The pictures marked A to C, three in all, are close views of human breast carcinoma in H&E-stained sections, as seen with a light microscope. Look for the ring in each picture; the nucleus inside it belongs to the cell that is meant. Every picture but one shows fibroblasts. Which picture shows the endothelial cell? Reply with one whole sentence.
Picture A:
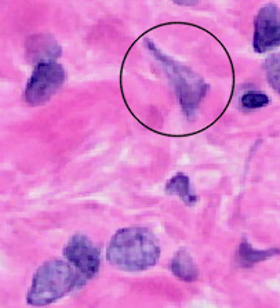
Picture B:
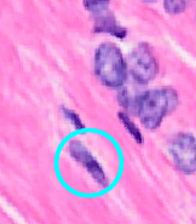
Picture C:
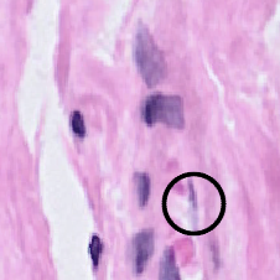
Picture C shows the endothelial cell.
